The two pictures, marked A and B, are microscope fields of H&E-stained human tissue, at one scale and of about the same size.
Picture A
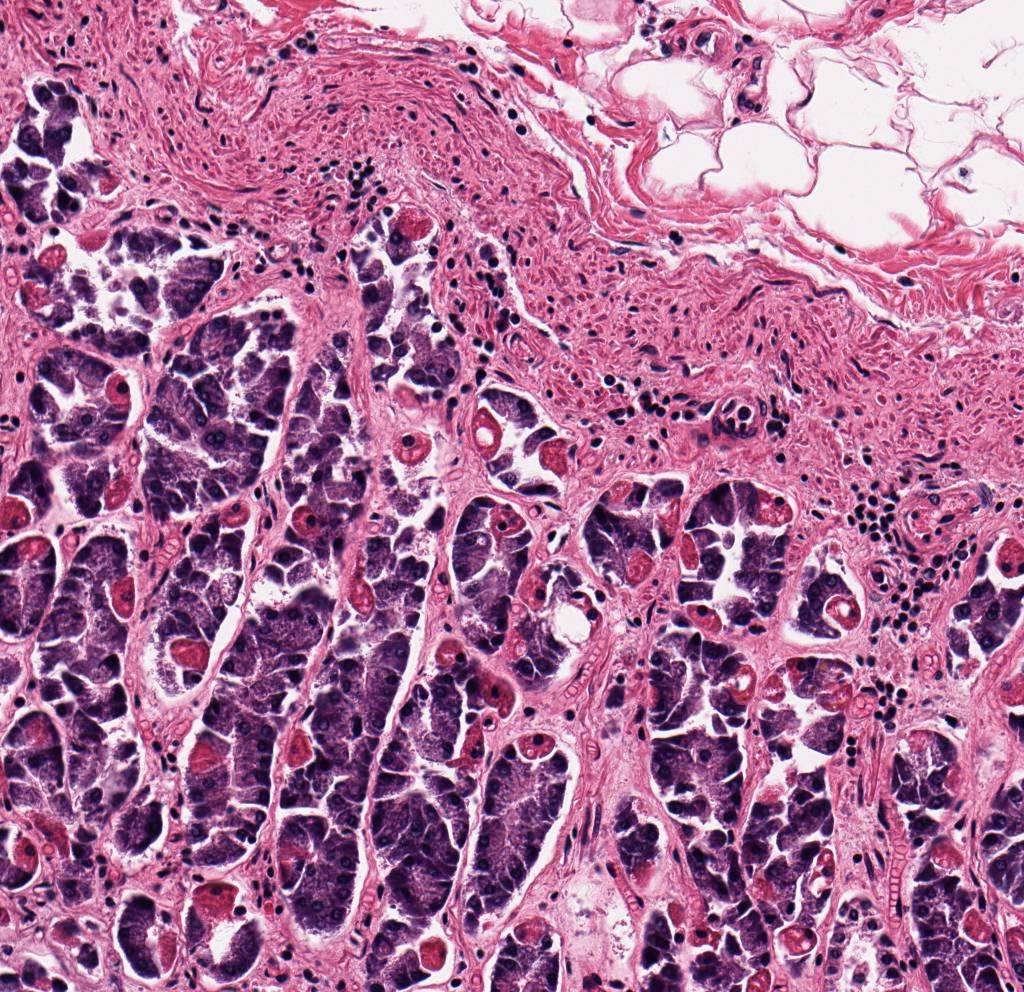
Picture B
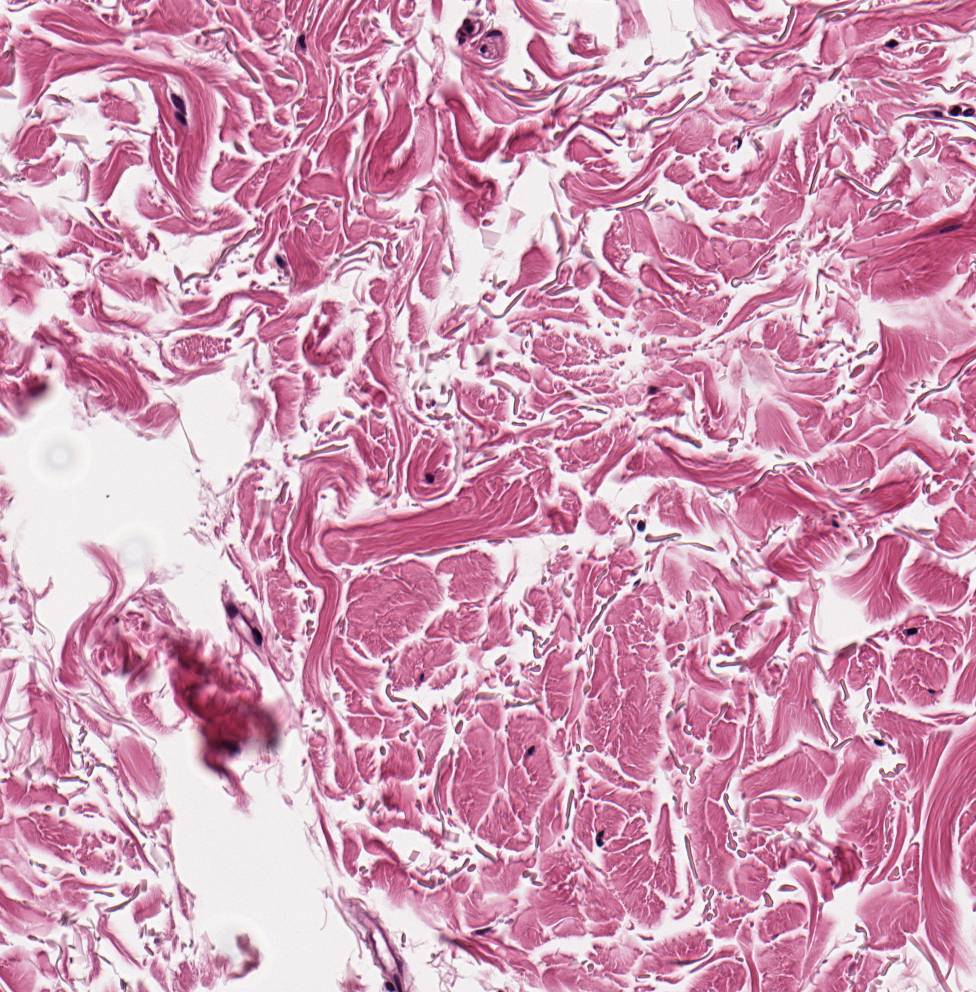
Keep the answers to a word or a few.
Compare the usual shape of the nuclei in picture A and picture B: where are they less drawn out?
A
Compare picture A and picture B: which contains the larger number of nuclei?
A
